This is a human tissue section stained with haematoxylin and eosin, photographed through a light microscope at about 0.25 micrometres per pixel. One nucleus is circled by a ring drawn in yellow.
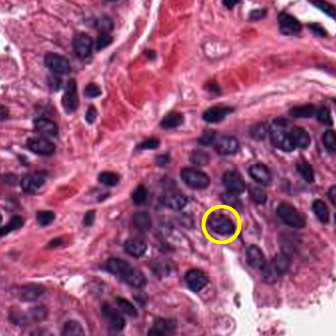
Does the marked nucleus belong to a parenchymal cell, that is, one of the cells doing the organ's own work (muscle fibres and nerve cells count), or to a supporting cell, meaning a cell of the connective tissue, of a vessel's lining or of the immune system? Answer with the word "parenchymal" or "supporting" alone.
parenchymal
